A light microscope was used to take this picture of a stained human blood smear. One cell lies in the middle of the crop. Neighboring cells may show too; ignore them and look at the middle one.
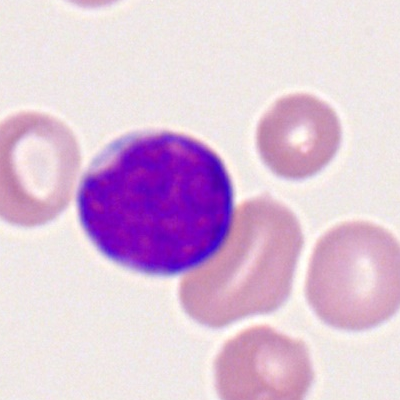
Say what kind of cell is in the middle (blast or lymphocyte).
blast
